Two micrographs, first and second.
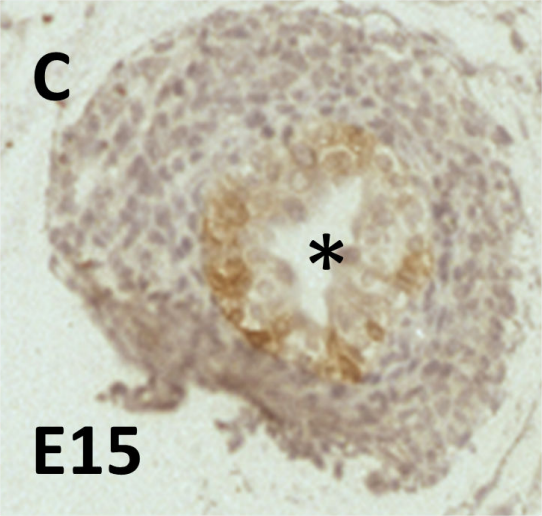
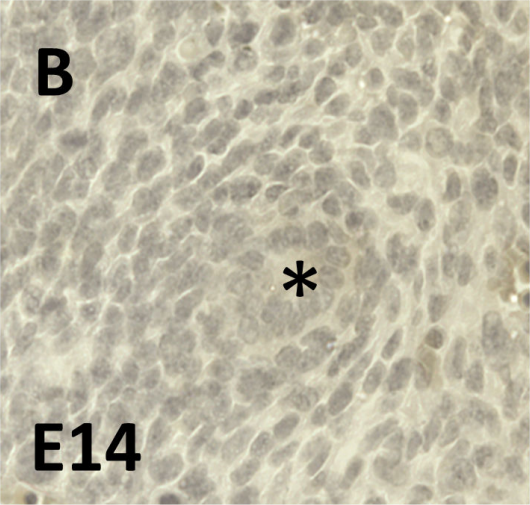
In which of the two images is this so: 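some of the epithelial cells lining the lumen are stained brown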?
The first image.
